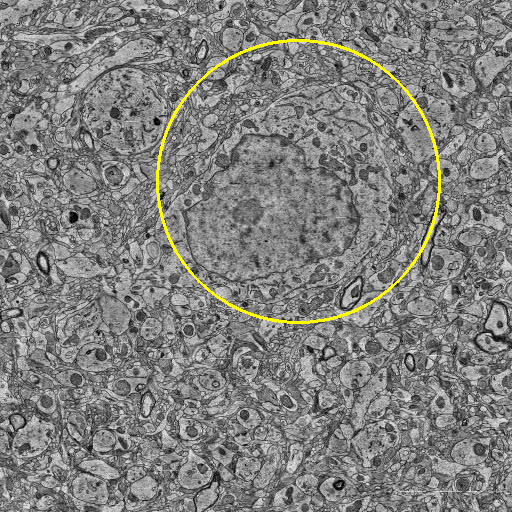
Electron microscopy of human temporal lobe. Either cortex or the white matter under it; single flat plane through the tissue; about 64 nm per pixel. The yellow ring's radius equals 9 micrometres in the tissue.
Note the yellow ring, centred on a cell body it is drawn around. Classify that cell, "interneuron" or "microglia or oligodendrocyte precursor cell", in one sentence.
The cell the ring is centred on is an interneuron.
